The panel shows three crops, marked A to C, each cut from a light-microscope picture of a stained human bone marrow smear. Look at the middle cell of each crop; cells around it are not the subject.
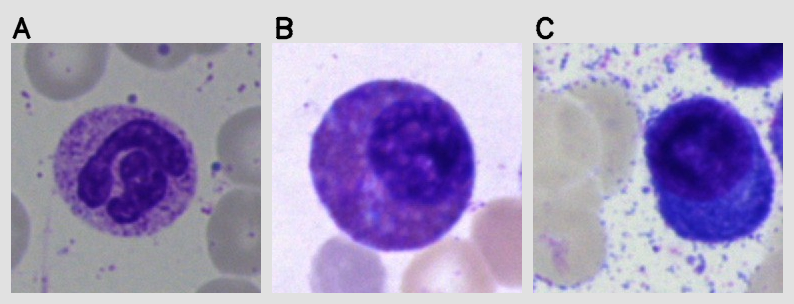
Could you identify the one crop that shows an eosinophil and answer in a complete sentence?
That would be crop B; it shows an eosinophil.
